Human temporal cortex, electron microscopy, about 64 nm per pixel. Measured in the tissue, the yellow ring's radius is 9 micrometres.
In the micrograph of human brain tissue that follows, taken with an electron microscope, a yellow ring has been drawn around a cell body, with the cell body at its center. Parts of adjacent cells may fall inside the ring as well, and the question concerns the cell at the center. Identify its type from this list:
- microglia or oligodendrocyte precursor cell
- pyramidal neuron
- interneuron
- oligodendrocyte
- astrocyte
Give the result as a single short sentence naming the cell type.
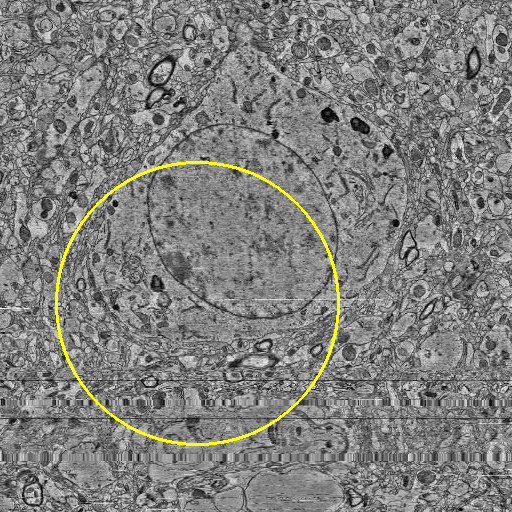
The ring is centered on a pyramidal neuron.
